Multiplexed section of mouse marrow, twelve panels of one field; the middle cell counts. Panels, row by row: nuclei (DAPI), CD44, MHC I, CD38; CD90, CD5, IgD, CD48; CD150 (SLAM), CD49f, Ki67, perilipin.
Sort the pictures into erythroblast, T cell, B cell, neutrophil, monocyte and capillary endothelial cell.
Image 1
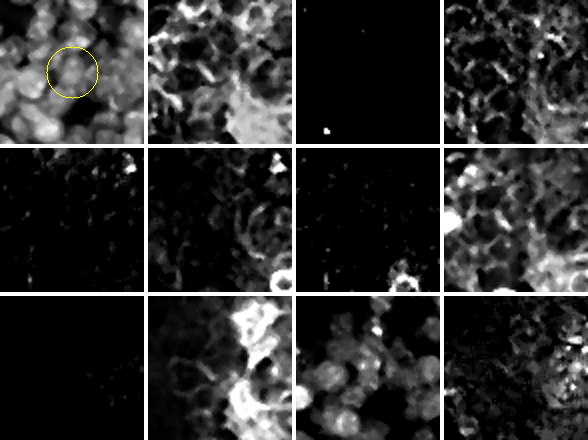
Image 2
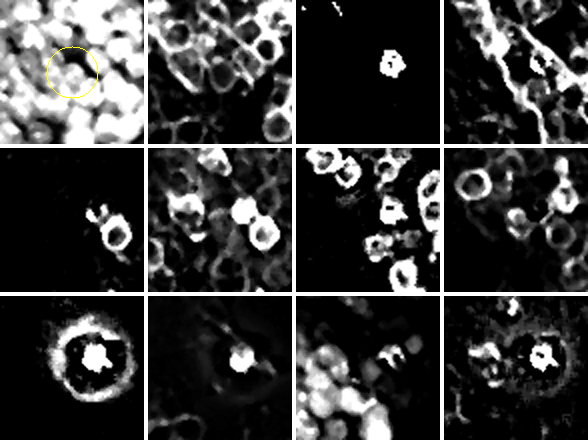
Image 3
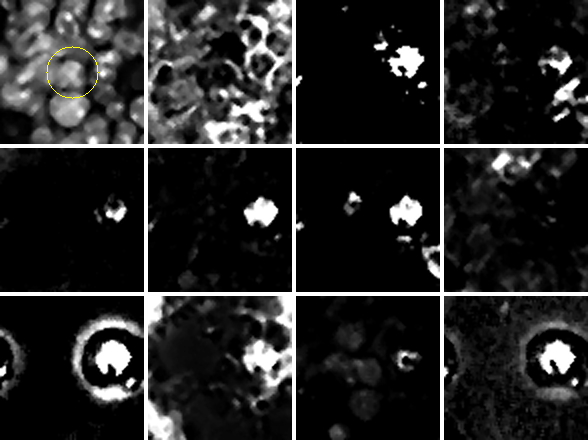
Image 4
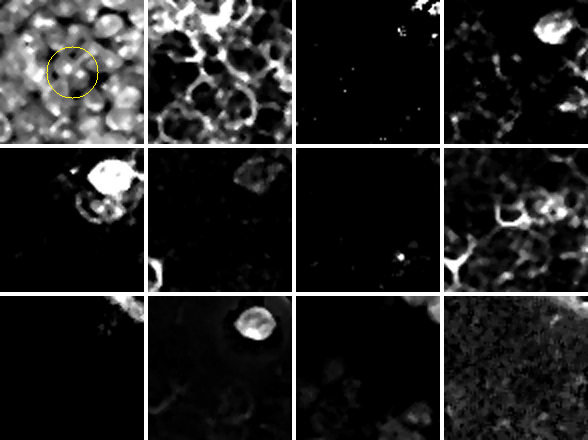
Erythroblasts: 1, 3
Capillary endothelial cells: 2
Monocytes: 4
